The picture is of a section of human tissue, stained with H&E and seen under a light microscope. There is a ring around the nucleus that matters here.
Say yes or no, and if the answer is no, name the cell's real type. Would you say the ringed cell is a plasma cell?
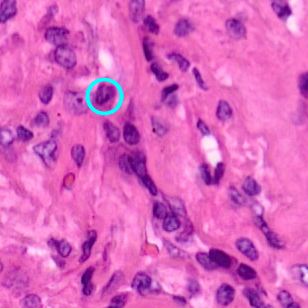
Yes.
